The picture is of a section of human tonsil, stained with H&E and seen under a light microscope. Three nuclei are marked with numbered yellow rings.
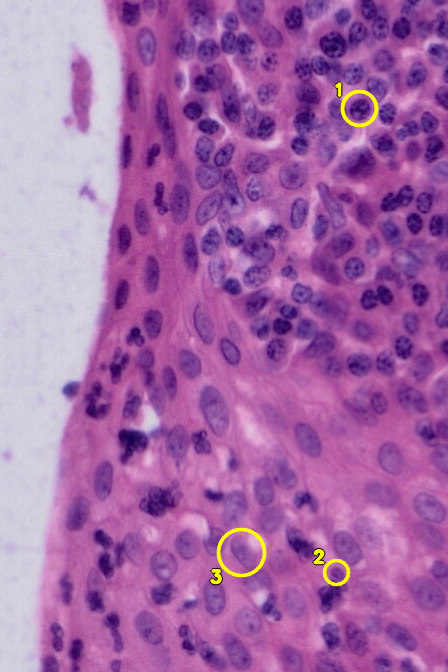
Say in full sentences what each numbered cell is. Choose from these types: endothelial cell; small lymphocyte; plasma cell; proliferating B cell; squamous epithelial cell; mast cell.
Cell 1 is a plasma cell, cell 2 is a squamous epithelial cell and cell 3 is a squamous epithelial cell.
